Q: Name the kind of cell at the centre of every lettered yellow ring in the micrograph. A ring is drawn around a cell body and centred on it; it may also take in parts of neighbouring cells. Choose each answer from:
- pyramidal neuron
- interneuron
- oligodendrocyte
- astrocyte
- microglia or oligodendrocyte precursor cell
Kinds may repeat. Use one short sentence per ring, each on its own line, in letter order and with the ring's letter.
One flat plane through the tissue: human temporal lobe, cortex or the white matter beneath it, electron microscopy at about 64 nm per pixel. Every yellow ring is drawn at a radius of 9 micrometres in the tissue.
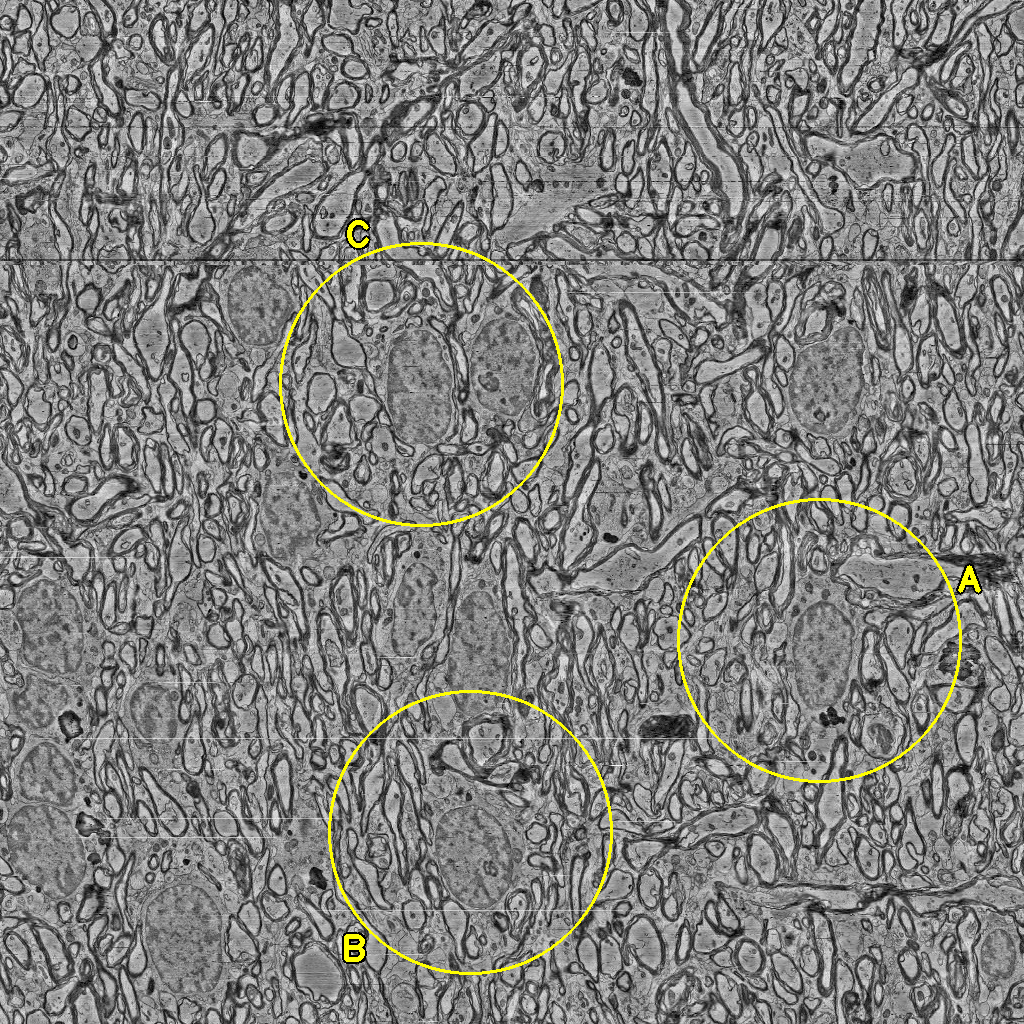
Ring A is placed around an oligodendrocyte.
Ring B is placed around an oligodendrocyte.
Ring C is placed around an oligodendrocyte.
